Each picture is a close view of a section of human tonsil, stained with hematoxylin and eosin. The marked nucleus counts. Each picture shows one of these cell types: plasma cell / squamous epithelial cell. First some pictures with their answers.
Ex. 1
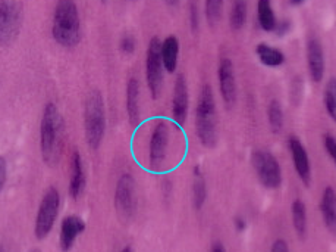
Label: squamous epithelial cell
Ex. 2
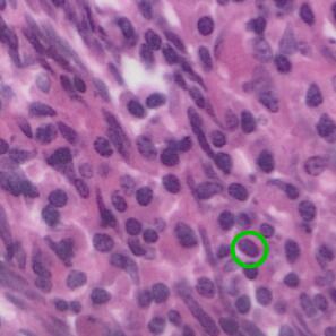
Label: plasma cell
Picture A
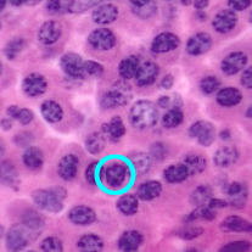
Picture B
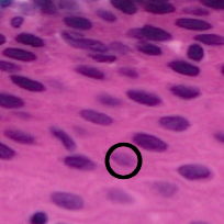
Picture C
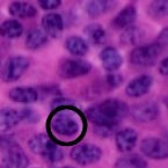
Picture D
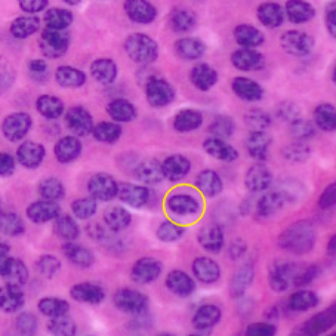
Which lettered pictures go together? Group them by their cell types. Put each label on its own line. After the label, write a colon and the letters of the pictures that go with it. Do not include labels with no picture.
plasma cell: A, C, D
squamous epithelial cell: B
